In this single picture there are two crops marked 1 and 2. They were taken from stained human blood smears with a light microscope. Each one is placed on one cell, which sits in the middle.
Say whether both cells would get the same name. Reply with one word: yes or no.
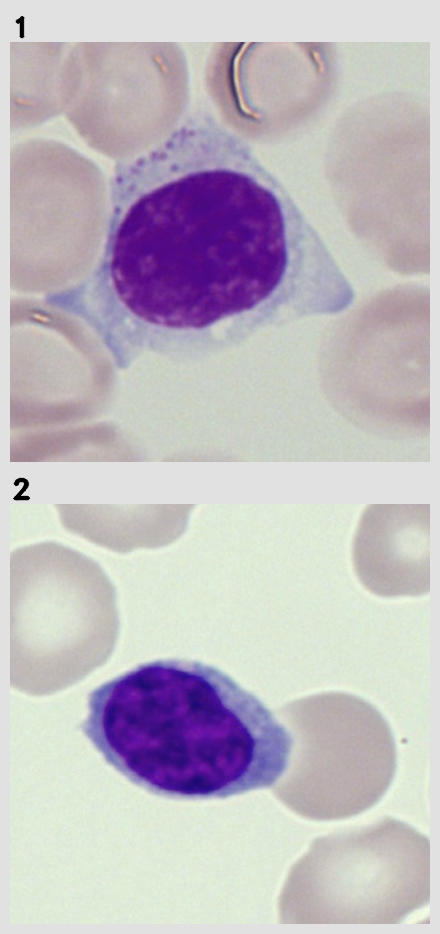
yes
